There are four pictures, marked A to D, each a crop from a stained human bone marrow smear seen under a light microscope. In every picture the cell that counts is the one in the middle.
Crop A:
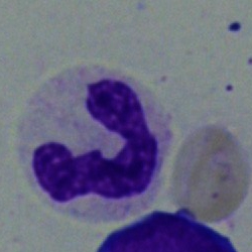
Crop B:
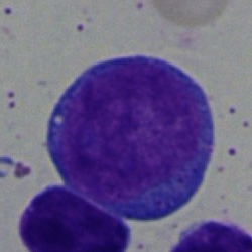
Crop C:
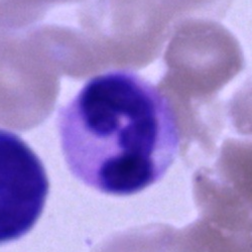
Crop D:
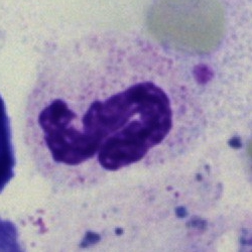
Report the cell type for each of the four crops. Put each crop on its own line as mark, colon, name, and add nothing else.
A: segmented neutrophil
B: proerythroblast
C: segmented neutrophil
D: segmented neutrophil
